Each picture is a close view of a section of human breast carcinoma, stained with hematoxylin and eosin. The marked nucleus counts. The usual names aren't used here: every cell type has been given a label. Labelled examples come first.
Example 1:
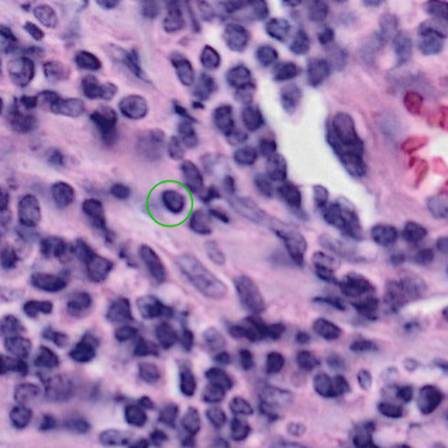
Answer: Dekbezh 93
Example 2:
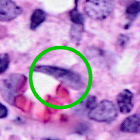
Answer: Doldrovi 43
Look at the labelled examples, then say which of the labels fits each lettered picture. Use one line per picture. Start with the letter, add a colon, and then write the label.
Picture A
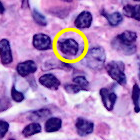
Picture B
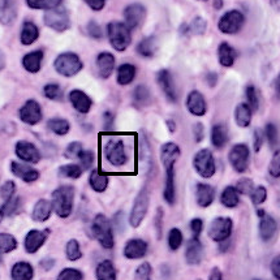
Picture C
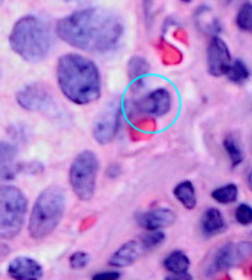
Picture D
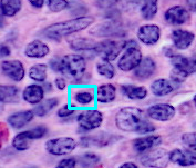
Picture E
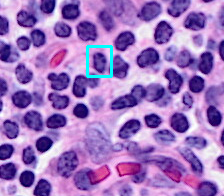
A: Dekbezh 93
B: Dekbezh 93
C: Doldrovi 43
D: Dekbezh 93
E: Dekbezh 93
